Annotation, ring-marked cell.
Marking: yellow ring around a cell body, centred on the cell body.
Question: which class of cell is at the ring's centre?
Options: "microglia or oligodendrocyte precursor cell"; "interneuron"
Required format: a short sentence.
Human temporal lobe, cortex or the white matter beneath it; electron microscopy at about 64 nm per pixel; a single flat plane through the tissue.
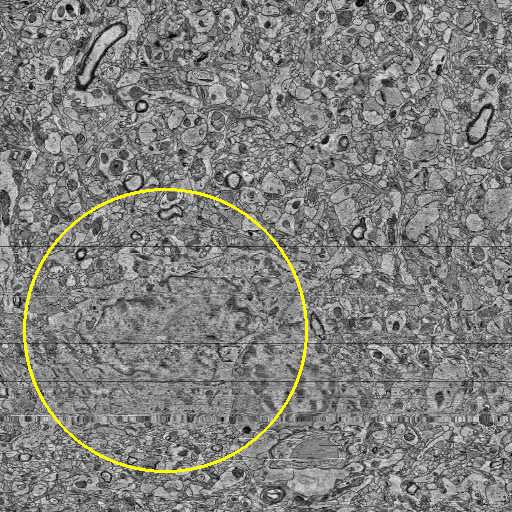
At the ring's centre is an interneuron.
